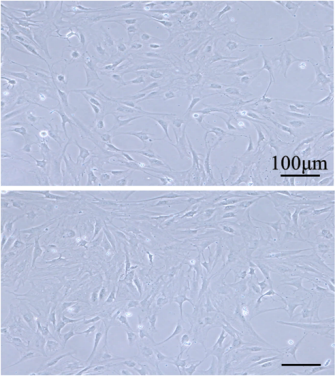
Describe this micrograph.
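In both images the cells are mostly long and spindle-shaped, like fibroblasts, with tapering ends, and some are broader with a few short processes. They lie close together and often run roughly parallel in loose streams, covering much of the surface. A few small, rounded, bright cells stand out among them, refractile in the phase light. The two images look much alike in cell shape and density.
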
